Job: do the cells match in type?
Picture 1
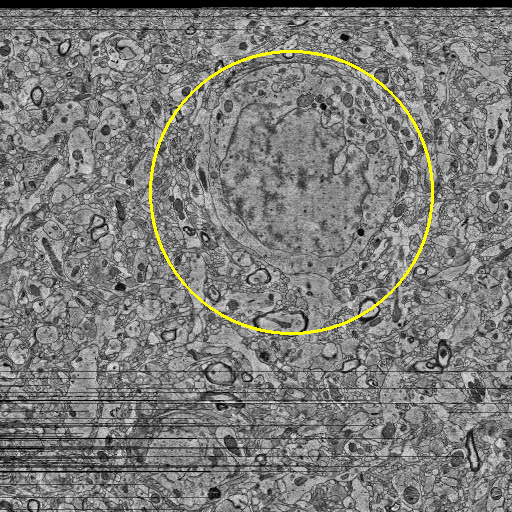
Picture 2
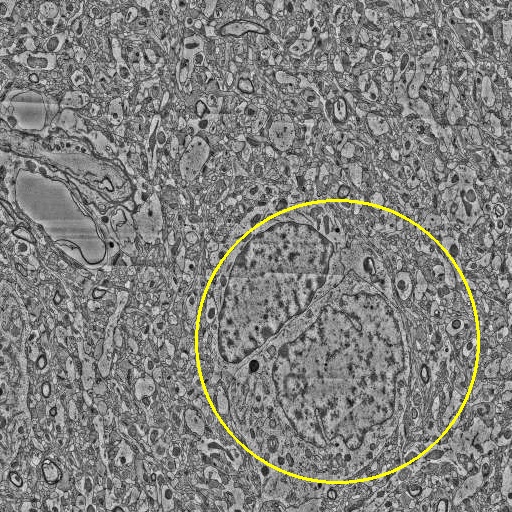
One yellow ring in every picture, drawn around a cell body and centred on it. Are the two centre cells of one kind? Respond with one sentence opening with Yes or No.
Yes, the ringed cells in the two pictures are of one and the same kind.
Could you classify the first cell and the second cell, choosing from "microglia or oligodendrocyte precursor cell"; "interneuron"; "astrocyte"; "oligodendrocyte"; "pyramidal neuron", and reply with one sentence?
The cell at the ring centre is an interneuron in both pictures.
